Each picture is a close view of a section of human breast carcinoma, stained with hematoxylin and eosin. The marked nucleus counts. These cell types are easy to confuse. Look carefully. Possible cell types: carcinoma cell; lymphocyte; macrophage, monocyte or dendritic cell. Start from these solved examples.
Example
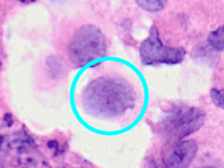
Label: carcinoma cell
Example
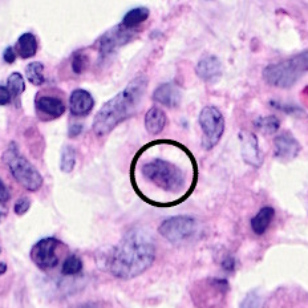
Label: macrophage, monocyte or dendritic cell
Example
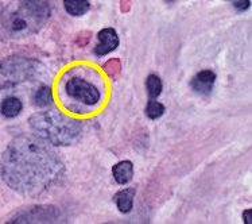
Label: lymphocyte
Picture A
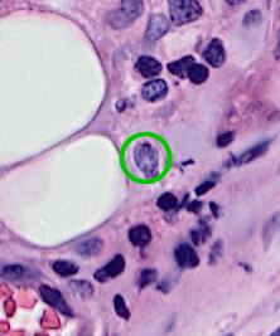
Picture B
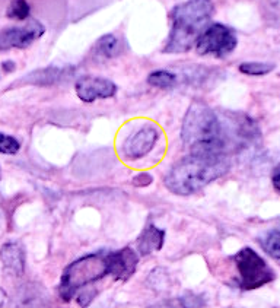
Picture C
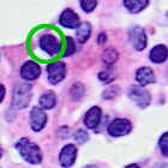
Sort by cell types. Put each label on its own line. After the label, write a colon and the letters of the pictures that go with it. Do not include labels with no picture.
lymphocyte: C
macrophage, monocyte or dendritic cell: A, B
